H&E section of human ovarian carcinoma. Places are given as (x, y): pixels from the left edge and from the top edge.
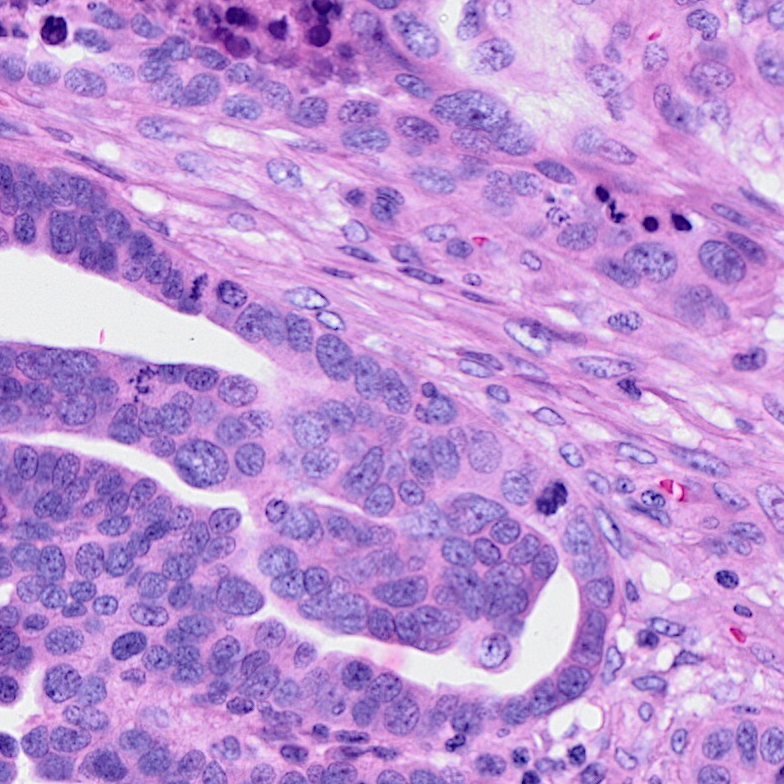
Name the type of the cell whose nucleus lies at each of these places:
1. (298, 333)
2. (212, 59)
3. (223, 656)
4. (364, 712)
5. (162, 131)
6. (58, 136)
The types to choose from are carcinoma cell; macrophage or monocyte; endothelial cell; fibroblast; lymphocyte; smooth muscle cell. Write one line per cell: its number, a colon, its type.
1: carcinoma cell
2: carcinoma cell
3: carcinoma cell
4: carcinoma cell
5: fibroblast
6: fibroblast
